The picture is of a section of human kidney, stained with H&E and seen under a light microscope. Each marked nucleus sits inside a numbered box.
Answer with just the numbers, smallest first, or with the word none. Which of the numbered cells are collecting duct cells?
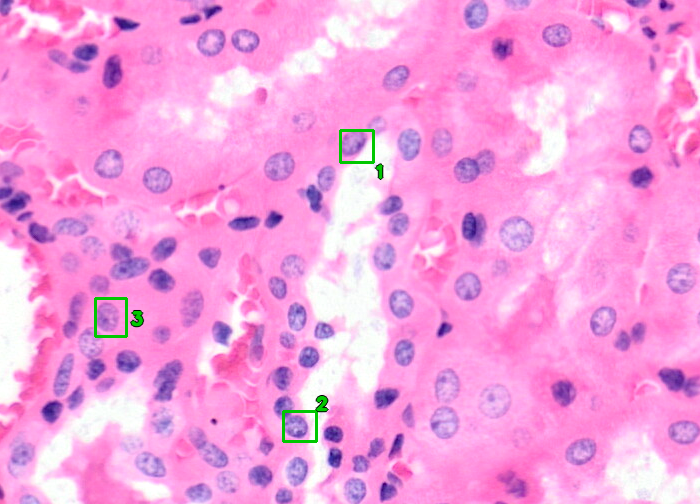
2, 3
